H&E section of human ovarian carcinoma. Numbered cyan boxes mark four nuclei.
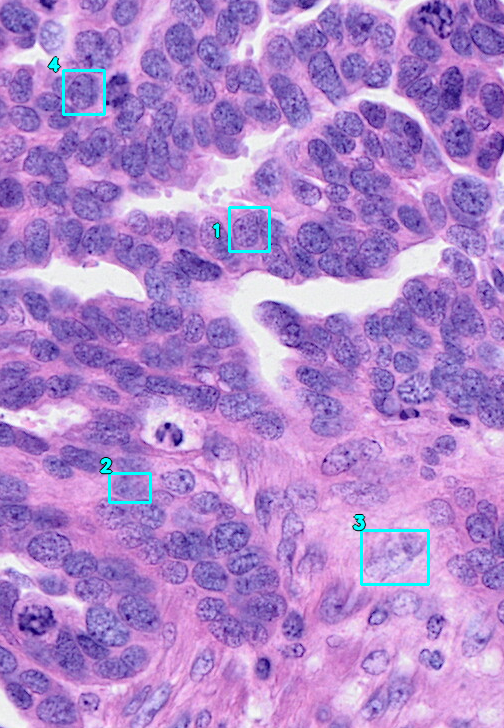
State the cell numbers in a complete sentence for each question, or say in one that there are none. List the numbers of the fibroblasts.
Only the cell numbered 3 qualifies as a fibroblast among the marked cells.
